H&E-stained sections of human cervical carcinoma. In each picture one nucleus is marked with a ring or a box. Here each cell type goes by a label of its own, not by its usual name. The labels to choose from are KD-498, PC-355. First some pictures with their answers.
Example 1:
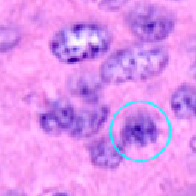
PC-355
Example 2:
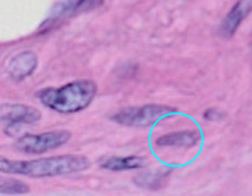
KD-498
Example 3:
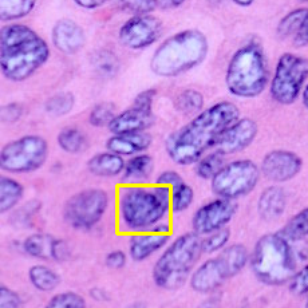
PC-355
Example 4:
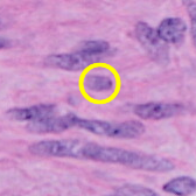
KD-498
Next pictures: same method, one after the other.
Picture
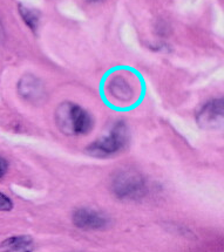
PC-355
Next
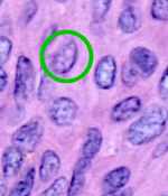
PC-355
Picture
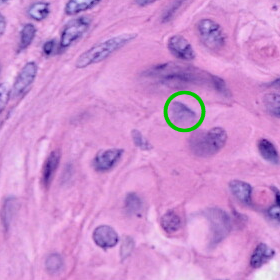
PC-355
